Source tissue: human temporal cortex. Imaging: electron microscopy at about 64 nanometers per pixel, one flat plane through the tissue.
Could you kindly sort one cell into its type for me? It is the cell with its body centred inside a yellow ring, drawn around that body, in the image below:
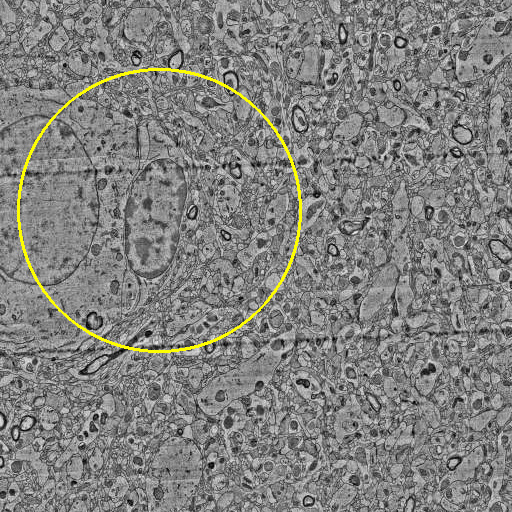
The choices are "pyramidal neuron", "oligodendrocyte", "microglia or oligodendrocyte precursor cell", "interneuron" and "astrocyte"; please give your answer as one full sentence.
The cell whose body lies centred in the yellow ring here is a microglial cell or oligodendrocyte precursor cell.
